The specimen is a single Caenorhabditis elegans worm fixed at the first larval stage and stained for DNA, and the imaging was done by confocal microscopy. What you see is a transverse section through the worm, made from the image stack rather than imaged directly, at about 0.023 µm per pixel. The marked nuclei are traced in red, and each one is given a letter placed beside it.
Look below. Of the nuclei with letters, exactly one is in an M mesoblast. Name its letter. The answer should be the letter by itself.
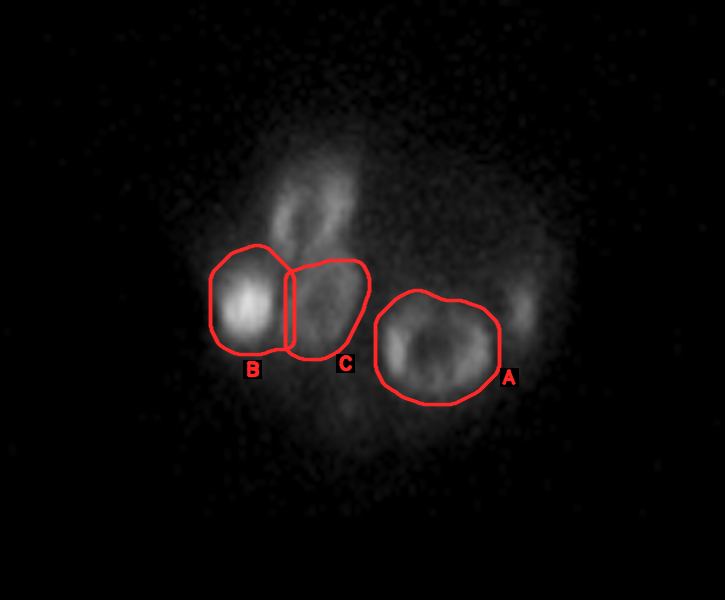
A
